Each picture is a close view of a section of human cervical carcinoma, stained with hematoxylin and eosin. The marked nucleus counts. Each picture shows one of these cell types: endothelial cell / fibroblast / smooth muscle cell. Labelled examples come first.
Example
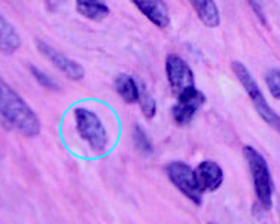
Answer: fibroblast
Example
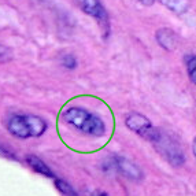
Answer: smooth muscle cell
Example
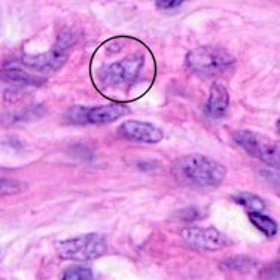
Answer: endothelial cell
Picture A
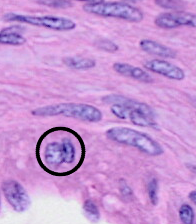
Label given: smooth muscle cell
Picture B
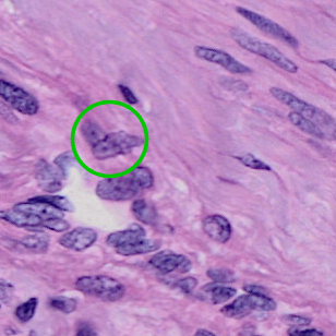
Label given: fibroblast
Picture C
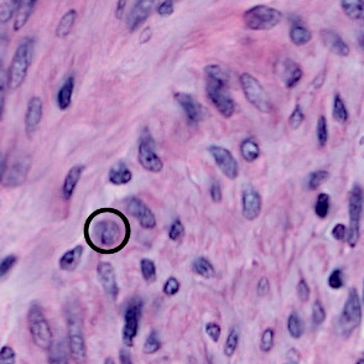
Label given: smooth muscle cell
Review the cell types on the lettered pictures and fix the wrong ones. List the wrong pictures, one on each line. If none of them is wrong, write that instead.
B: endothelial cell, not fibroblast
